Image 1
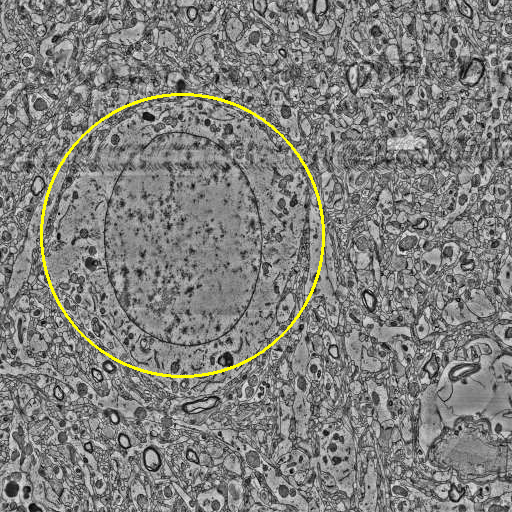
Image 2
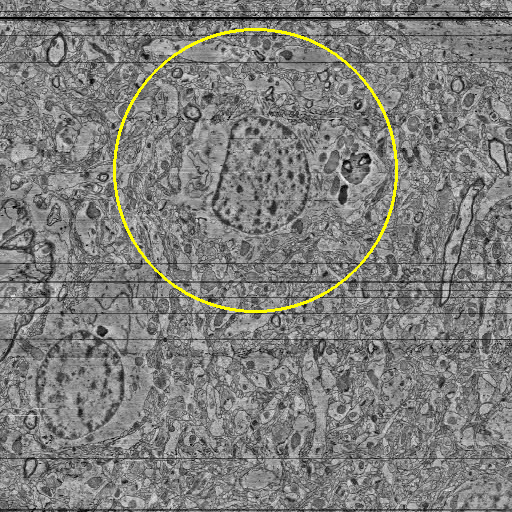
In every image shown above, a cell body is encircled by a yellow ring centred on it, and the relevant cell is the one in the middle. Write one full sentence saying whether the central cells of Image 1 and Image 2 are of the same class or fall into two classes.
The cell at the ring's centre in Image 1 and its counterpart in Image 2 fall into two classes.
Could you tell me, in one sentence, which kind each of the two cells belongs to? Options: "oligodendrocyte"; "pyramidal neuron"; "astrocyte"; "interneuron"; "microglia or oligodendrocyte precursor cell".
At the centre of the first ring sits a pyramidal neuron, and at the centre of the second sits an astrocyte.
